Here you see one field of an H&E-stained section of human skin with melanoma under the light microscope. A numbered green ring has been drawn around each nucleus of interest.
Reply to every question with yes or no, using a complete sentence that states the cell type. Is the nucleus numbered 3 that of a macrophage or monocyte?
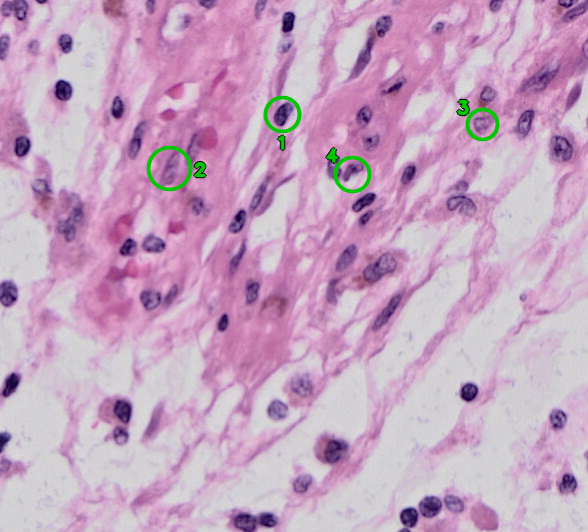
Yes, in the section, number 3 is a macrophage or monocyte.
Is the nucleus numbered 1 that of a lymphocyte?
Yes, the cell that bears number 1 is a lymphocyte.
